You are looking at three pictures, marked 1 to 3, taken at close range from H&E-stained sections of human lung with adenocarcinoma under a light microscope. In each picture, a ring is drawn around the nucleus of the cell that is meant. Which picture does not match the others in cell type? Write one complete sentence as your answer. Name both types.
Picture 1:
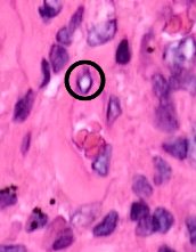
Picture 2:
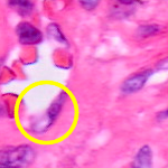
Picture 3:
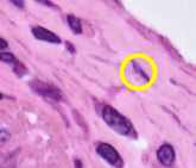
Unlike the rest, which show endothelial cells, picture 3 shows a fibroblast.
